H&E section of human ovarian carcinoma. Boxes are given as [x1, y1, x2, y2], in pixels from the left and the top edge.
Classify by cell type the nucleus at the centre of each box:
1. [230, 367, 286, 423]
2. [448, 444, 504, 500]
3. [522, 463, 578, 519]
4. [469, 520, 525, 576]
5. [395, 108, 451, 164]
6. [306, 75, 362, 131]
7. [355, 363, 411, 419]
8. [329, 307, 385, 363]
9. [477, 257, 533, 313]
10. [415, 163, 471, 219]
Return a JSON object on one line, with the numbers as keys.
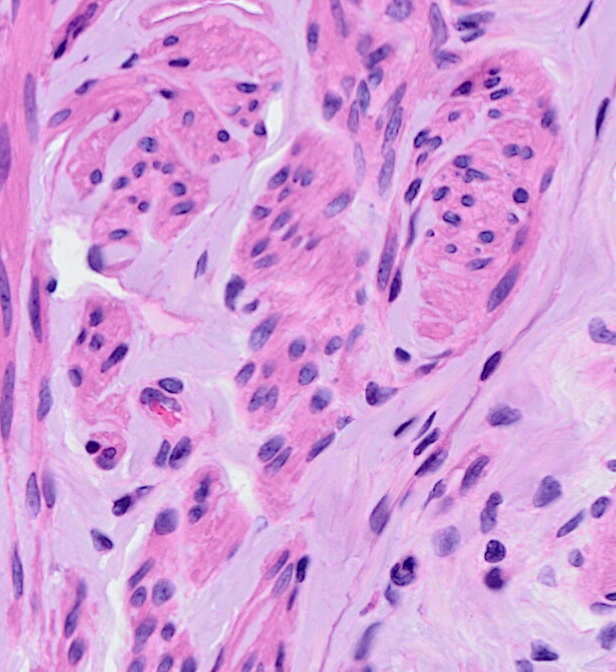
{"1": "smooth muscle cell", "2": "endothelial cell", "3": "fibroblast", "4": "lymphocyte", "5": "smooth muscle cell", "6": "smooth muscle cell", "7": "fibroblast", "8": "smooth muscle cell", "9": "smooth muscle cell", "10": "smooth muscle cell"}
